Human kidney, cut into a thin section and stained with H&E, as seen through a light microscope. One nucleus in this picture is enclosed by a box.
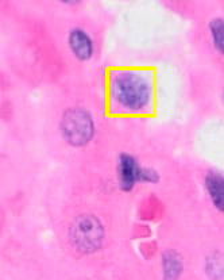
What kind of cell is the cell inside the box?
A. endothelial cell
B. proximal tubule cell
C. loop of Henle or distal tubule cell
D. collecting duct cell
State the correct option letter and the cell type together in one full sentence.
Option C is accurate, for the cell inside the box is a loop of Henle or distal tubule cell.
